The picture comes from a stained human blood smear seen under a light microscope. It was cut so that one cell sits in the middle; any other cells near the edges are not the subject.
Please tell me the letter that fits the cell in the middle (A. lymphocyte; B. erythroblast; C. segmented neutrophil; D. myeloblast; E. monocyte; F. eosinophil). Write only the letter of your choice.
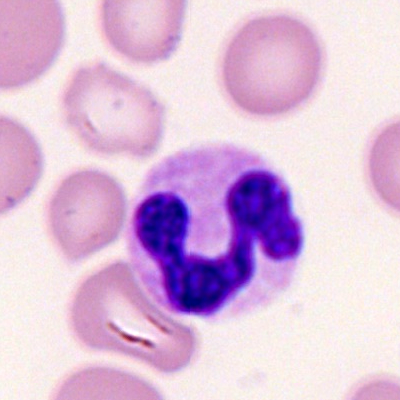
C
